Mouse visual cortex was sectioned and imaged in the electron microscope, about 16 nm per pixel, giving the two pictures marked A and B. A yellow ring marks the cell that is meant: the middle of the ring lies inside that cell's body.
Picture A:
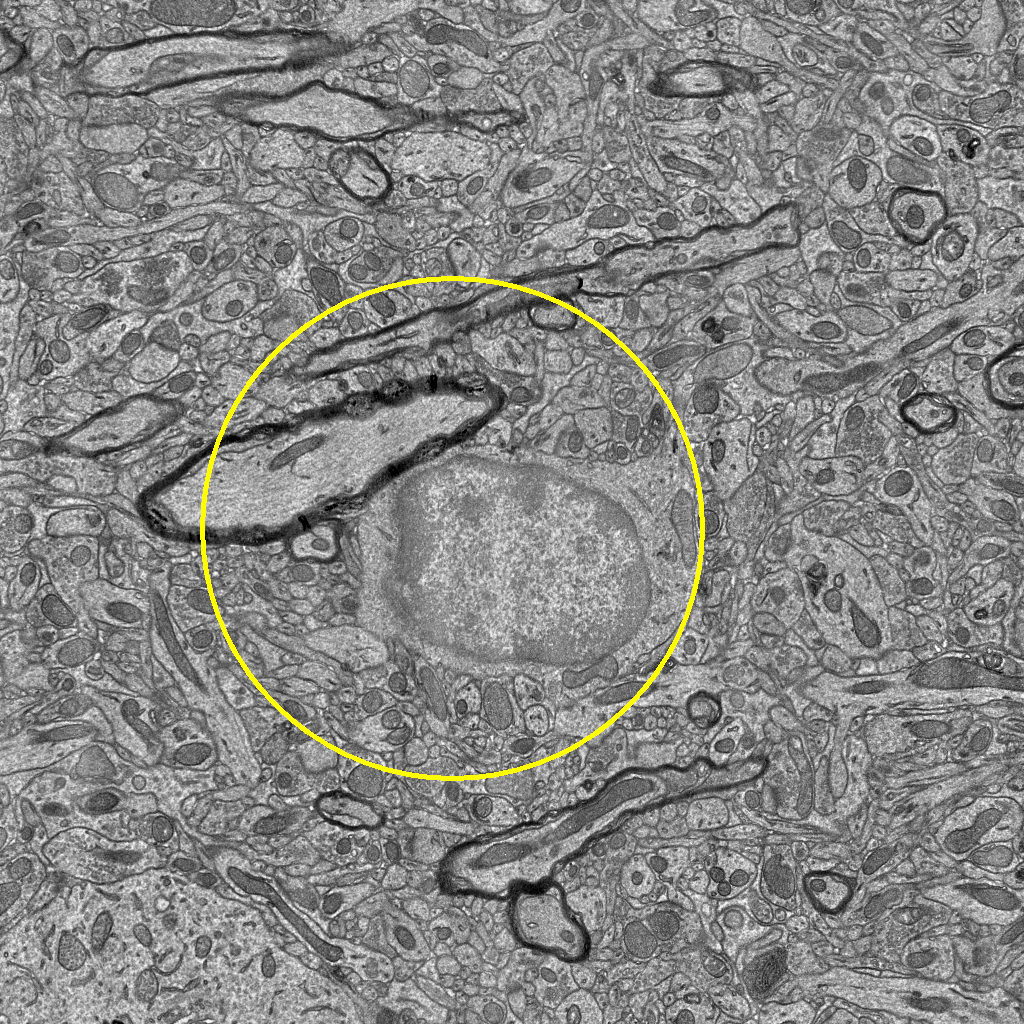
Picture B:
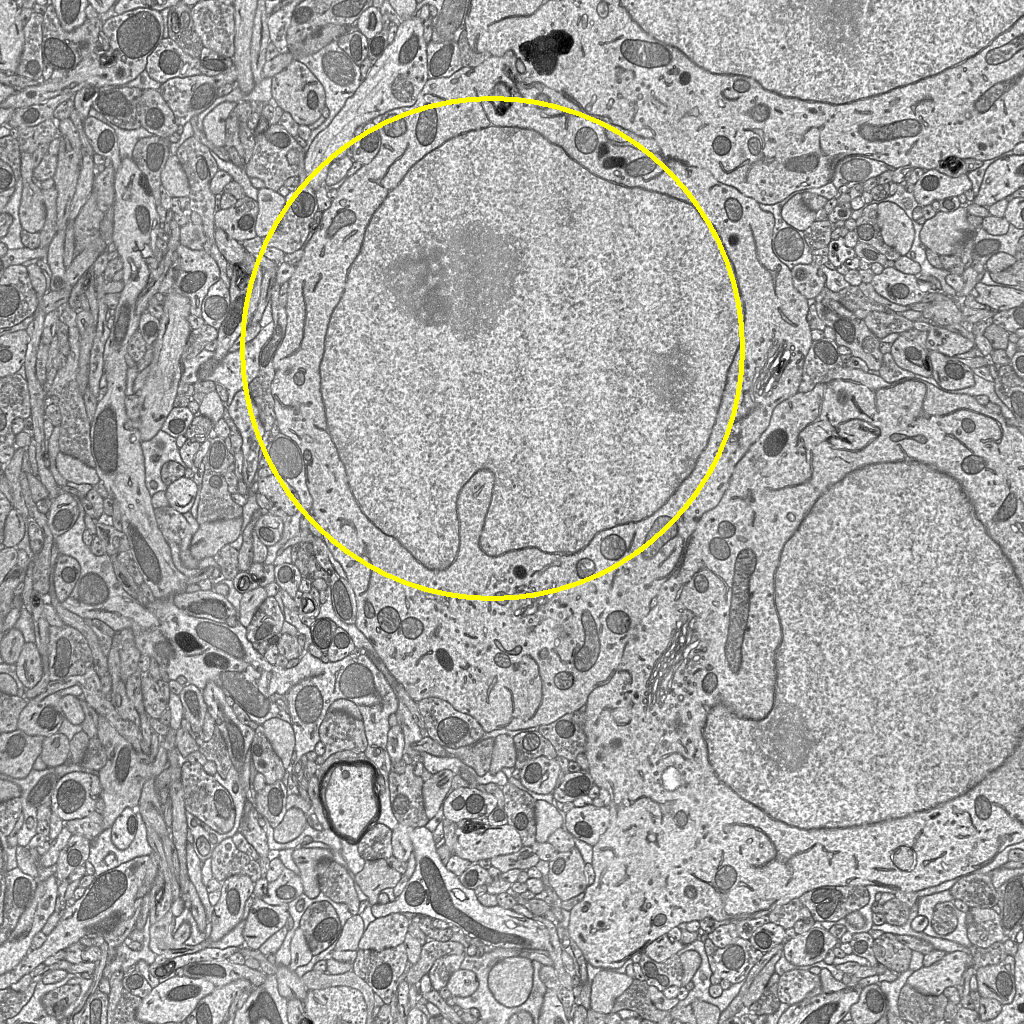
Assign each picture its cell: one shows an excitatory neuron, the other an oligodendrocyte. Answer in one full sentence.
The cell in picture A is an oligodendrocyte, and the one in picture B is an excitatory neuron.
